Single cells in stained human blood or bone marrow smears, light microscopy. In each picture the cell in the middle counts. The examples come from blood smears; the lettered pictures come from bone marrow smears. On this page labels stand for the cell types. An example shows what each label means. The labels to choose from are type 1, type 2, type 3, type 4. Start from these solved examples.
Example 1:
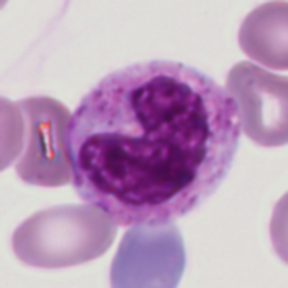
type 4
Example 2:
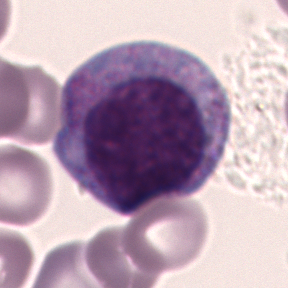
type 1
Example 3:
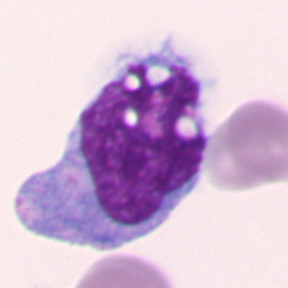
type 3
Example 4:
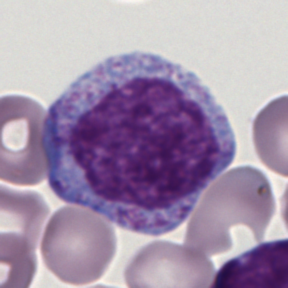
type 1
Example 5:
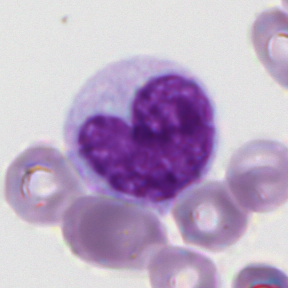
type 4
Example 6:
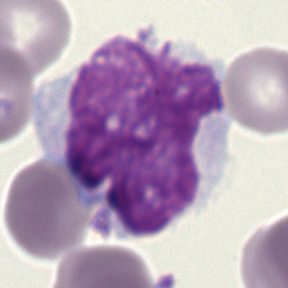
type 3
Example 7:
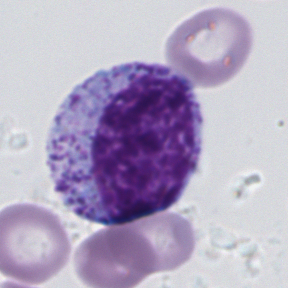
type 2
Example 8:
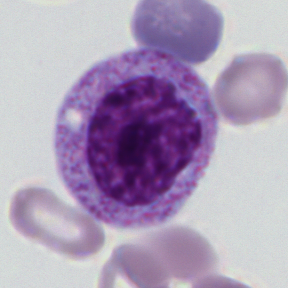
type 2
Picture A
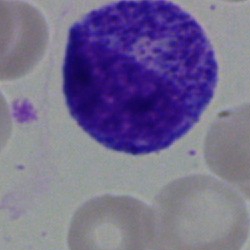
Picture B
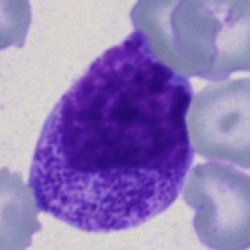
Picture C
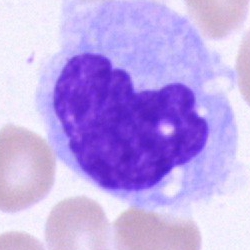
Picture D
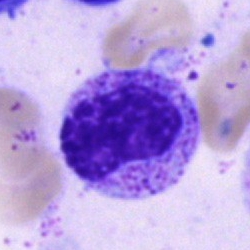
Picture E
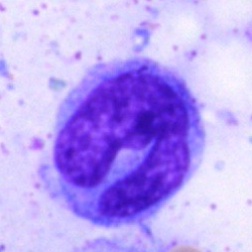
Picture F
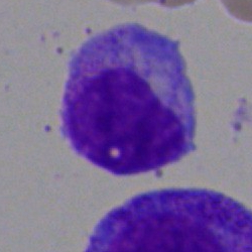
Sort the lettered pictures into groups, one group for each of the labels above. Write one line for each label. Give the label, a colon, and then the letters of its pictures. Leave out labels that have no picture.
type 2: A, B, F
type 3: C, E
type 4: D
